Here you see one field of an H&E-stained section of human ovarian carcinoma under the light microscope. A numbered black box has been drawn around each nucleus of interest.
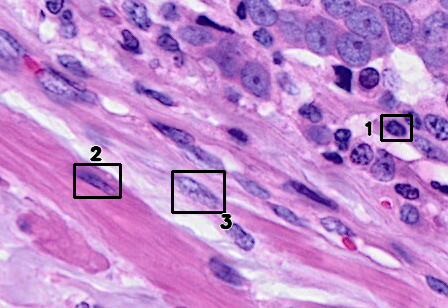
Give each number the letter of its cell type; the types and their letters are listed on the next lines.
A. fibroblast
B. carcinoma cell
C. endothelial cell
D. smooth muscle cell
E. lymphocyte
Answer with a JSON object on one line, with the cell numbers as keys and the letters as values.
{"1": "E", "2": "D", "3": "A"}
